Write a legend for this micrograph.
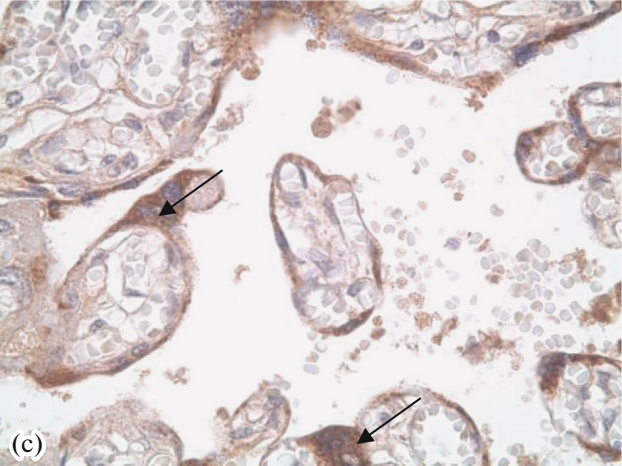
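Several placental villi lie in a wide intervillous space holding scattered red blood cells. The thin outer covering of syncytiotrophoblast stains light brown, with darker brown knots of nuclei bulging from the surface in places. The villous cores are pale, containing loose stroma, blue nuclei and small vessels.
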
